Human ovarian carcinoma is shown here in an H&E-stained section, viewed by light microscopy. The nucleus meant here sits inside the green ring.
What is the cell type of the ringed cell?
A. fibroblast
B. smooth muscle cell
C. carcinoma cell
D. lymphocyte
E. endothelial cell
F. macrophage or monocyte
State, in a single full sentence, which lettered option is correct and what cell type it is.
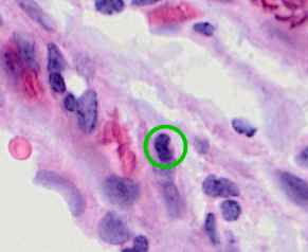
Option D is accurate, for the ringed cell is a lymphocyte.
